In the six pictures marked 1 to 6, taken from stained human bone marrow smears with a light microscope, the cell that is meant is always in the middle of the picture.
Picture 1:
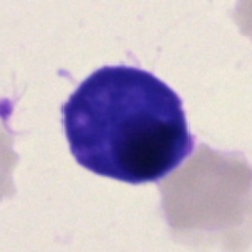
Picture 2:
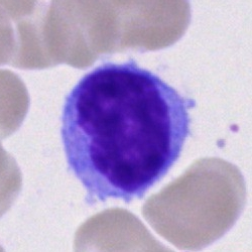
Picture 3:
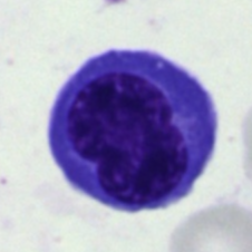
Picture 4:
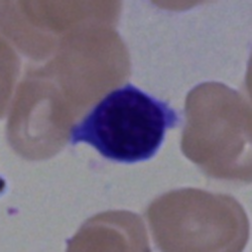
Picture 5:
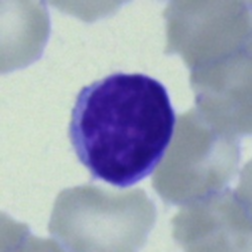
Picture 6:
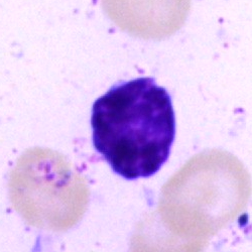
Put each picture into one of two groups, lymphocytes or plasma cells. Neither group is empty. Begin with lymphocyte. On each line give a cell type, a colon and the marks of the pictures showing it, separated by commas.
lymphocyte: 2, 4, 5, 6
plasma cell: 1, 3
